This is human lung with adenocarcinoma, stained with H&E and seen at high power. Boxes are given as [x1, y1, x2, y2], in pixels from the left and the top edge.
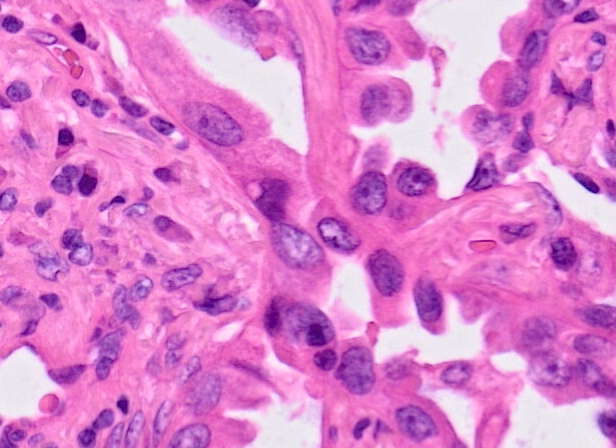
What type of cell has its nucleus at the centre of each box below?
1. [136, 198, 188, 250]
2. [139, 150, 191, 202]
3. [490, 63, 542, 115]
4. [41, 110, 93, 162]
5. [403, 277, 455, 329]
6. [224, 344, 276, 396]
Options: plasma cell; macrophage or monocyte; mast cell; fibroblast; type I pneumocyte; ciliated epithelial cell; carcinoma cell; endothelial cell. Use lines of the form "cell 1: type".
cell 1: plasma cell
cell 2: plasma cell
cell 3: carcinoma cell
cell 4: plasma cell
cell 5: carcinoma cell
cell 6: carcinoma cell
